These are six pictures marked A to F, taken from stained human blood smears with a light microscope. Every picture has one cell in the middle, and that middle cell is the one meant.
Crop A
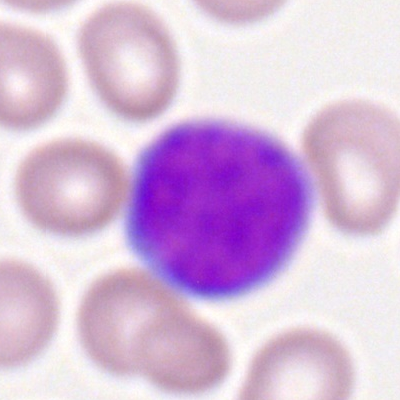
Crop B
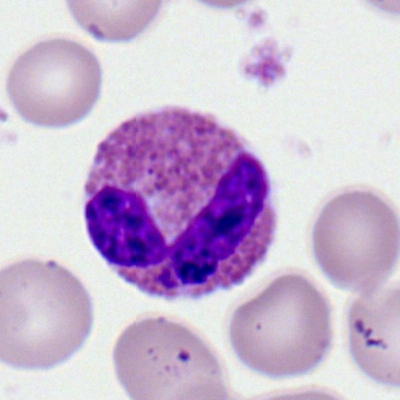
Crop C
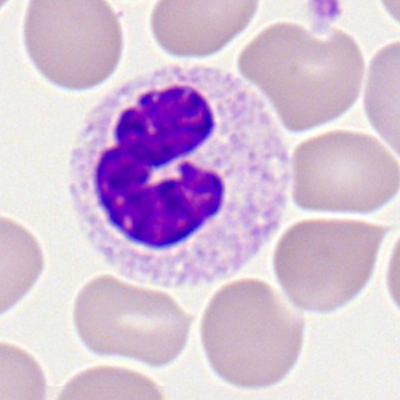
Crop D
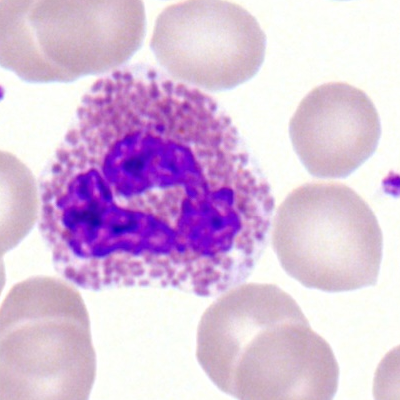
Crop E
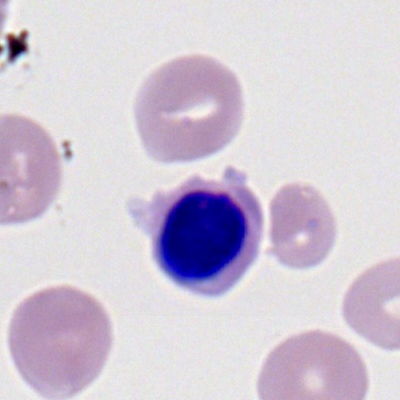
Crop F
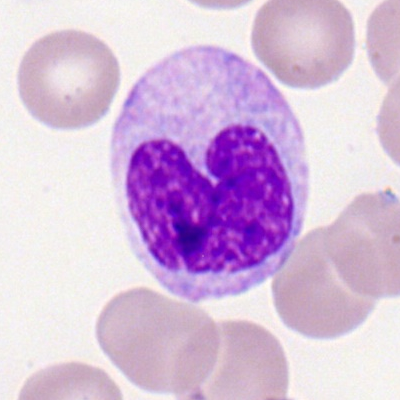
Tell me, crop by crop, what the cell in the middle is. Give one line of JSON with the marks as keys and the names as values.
{"A": "myeloblast", "B": "eosinophil", "C": "band neutrophil", "D": "eosinophil", "E": "erythroblast", "F": "monocyte"}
